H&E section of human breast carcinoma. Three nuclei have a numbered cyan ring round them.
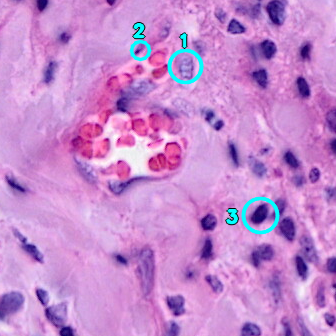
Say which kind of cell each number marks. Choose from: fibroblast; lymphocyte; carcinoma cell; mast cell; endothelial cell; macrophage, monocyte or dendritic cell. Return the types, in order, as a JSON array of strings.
["endothelial cell", "endothelial cell", "lymphocyte"]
